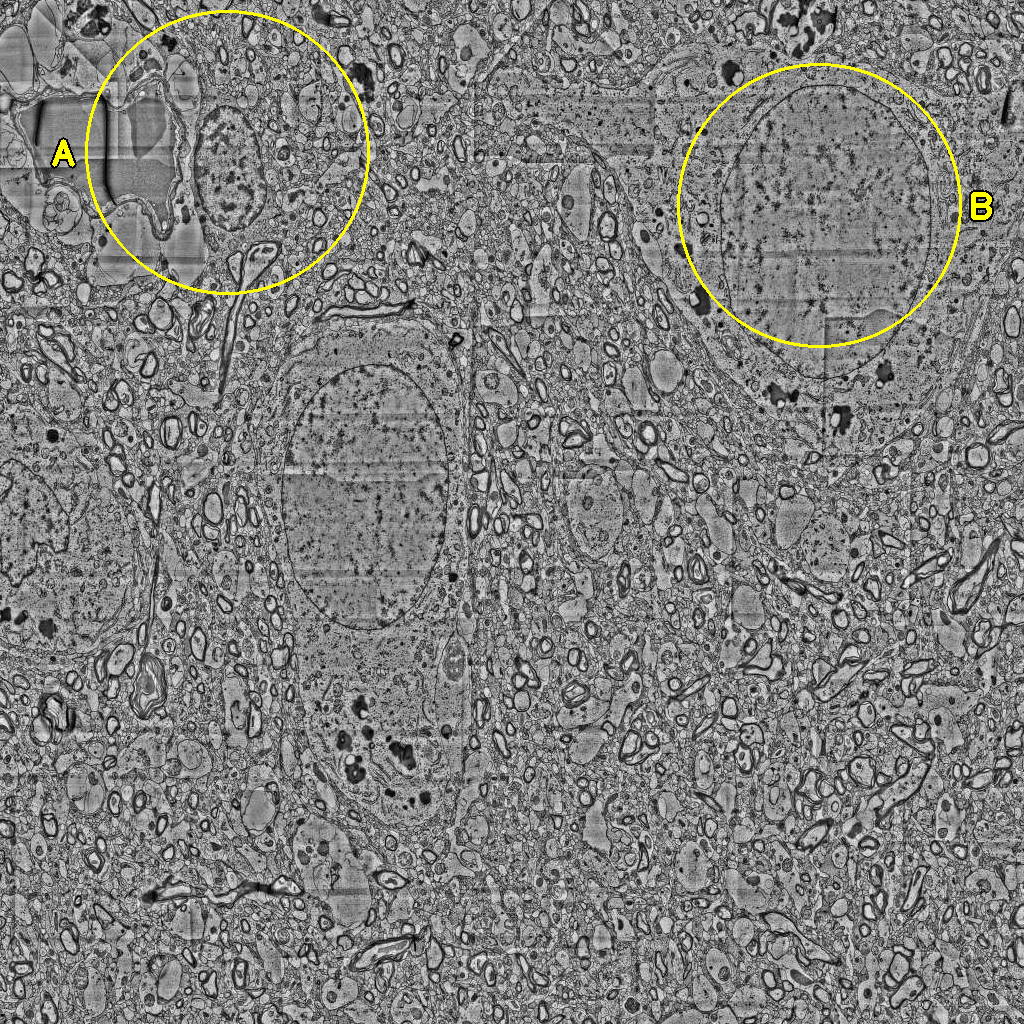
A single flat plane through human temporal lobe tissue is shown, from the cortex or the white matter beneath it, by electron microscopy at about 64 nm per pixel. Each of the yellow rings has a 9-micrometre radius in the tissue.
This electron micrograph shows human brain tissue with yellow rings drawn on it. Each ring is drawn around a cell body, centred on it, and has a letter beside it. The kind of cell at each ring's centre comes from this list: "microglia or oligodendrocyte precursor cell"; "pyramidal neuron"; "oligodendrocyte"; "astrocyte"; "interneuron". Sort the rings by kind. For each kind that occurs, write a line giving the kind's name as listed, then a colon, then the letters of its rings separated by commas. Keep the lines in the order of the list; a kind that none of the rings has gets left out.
pyramidal neuron: B
oligodendrocyte: A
